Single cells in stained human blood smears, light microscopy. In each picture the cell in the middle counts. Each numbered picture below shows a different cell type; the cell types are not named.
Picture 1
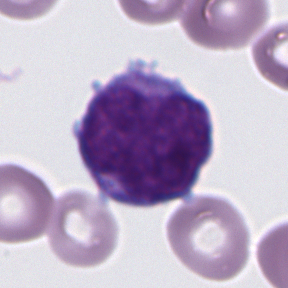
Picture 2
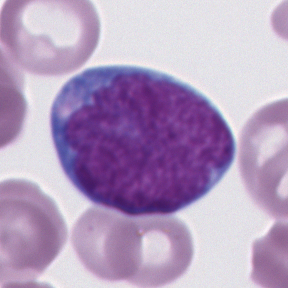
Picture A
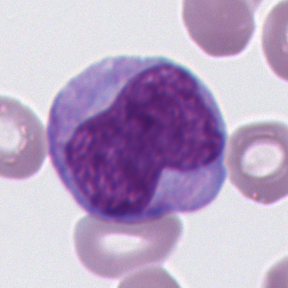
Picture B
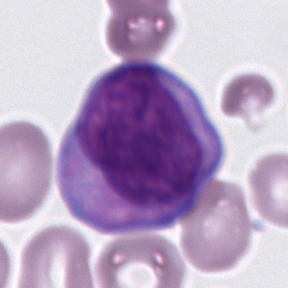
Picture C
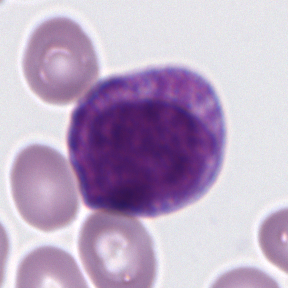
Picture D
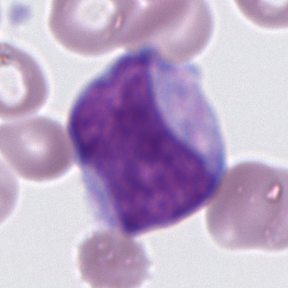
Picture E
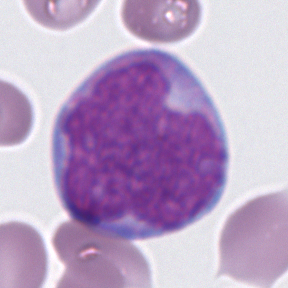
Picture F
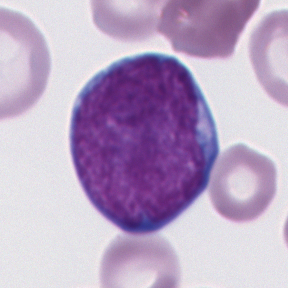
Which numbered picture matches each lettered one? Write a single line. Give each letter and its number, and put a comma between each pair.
A 1, B 1, C 1, D 1, E 1, F 2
